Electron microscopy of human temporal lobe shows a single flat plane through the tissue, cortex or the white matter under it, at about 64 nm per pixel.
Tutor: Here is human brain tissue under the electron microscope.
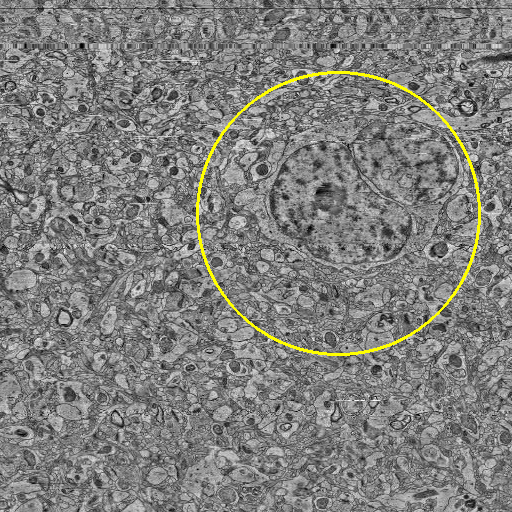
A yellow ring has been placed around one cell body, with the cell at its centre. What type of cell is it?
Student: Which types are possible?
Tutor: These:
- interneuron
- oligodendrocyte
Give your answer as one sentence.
What the ring picks out here is an interneuron.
